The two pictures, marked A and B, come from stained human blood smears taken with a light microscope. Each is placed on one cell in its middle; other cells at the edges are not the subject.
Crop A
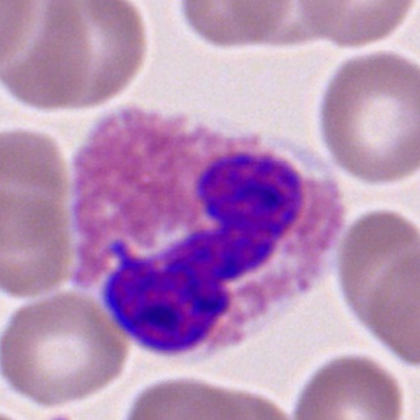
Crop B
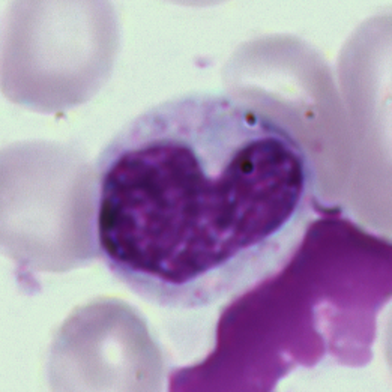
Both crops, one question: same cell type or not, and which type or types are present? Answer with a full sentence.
No, crop A is of an eosinophil, and crop B is of a band neutrophil.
